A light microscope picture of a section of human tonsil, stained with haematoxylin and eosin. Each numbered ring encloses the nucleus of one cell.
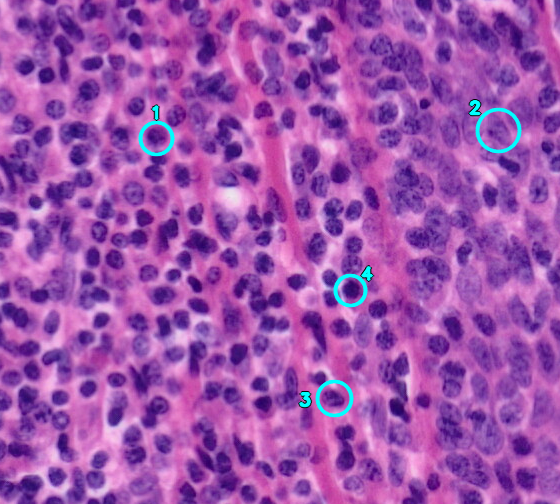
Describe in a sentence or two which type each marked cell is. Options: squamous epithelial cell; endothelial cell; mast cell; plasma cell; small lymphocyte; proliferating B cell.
Cell 1 is a plasma cell, cell 2 is a squamous epithelial cell, cell 3 is a plasma cell and cell 4 is a plasma cell.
